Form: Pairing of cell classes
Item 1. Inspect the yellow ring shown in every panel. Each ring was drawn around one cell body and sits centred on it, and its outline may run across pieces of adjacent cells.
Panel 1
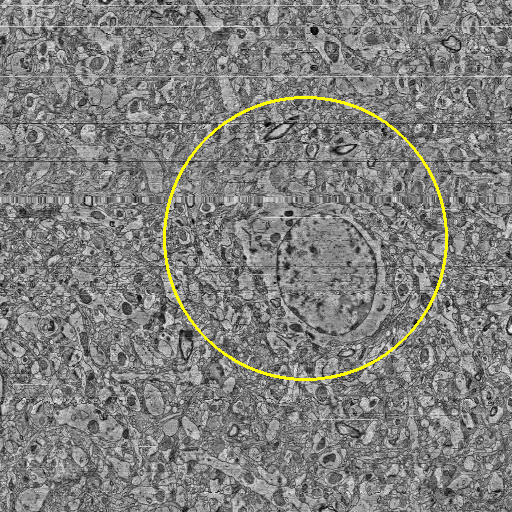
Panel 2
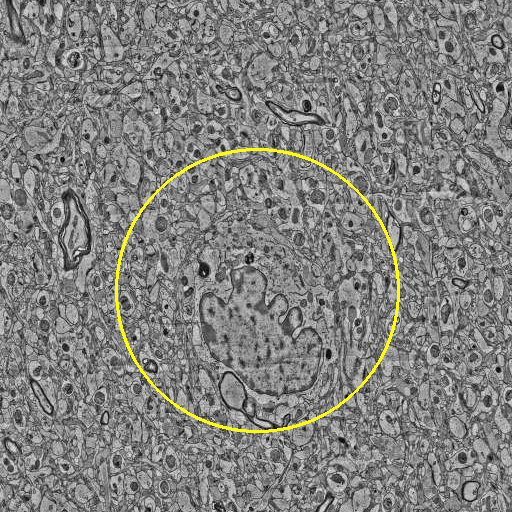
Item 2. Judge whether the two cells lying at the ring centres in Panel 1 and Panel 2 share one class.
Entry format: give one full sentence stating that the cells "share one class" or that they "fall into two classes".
The cells at the ring centres in Panel 1 and Panel 2 fall into two classes.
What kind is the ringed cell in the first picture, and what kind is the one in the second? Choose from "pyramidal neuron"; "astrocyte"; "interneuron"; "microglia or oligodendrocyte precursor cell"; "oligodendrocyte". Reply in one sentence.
The first cell is an astrocyte; the second is a microglial cell or oligodendrocyte precursor cell.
